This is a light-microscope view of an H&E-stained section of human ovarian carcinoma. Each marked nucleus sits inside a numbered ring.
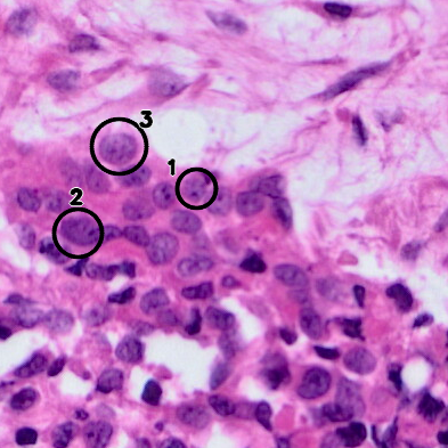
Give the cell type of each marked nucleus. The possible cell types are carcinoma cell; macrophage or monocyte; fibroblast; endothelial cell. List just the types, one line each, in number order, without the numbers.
macrophage or monocyte
carcinoma cell
carcinoma cell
